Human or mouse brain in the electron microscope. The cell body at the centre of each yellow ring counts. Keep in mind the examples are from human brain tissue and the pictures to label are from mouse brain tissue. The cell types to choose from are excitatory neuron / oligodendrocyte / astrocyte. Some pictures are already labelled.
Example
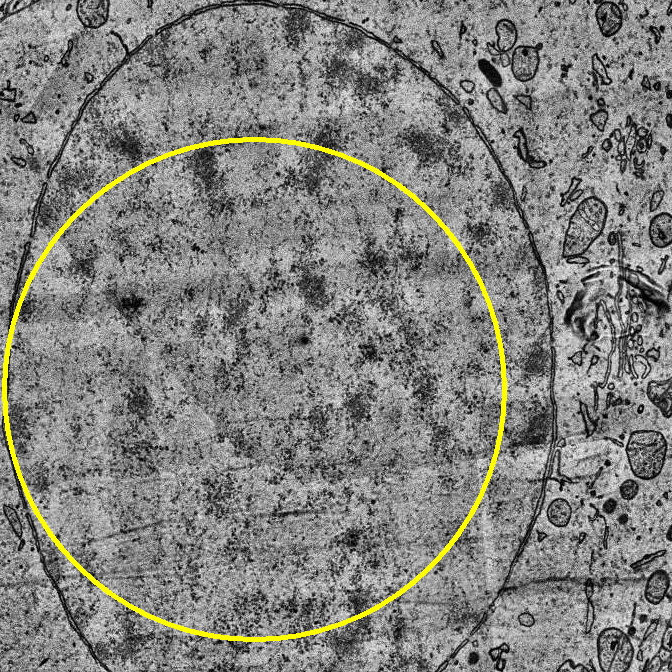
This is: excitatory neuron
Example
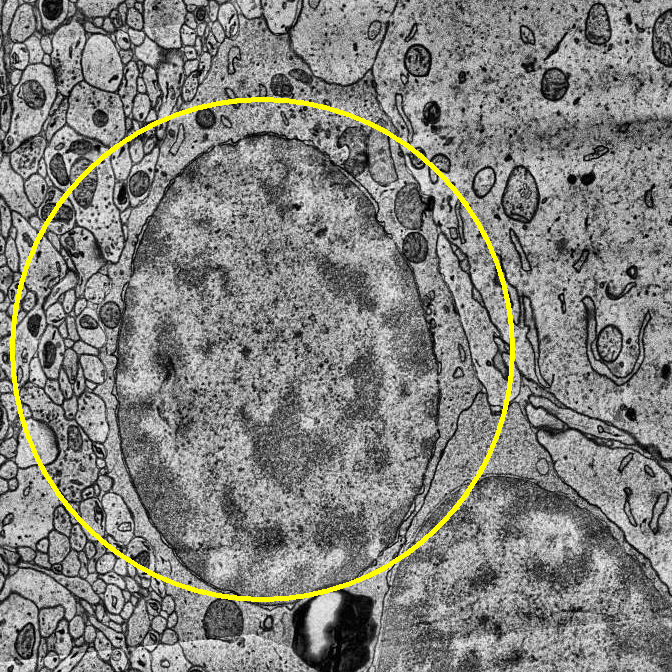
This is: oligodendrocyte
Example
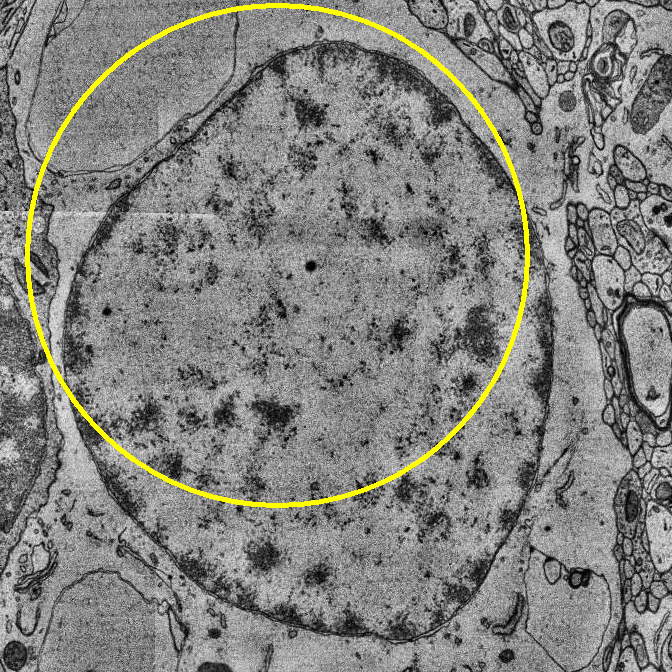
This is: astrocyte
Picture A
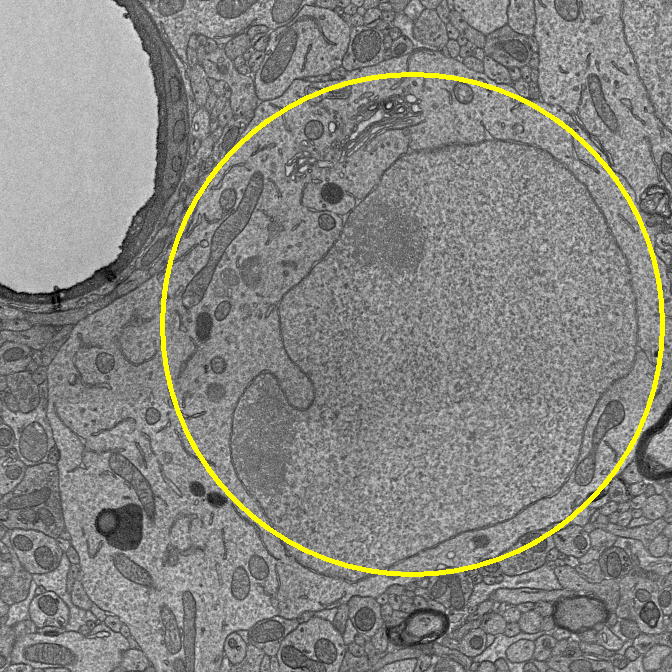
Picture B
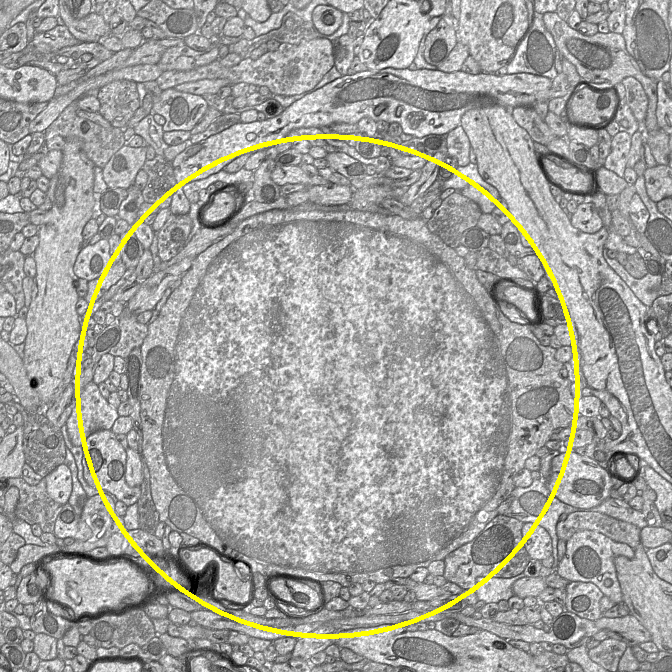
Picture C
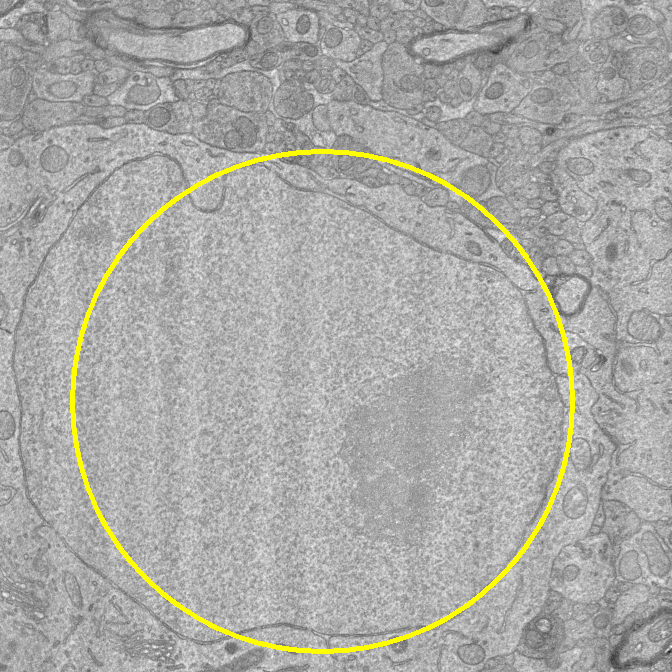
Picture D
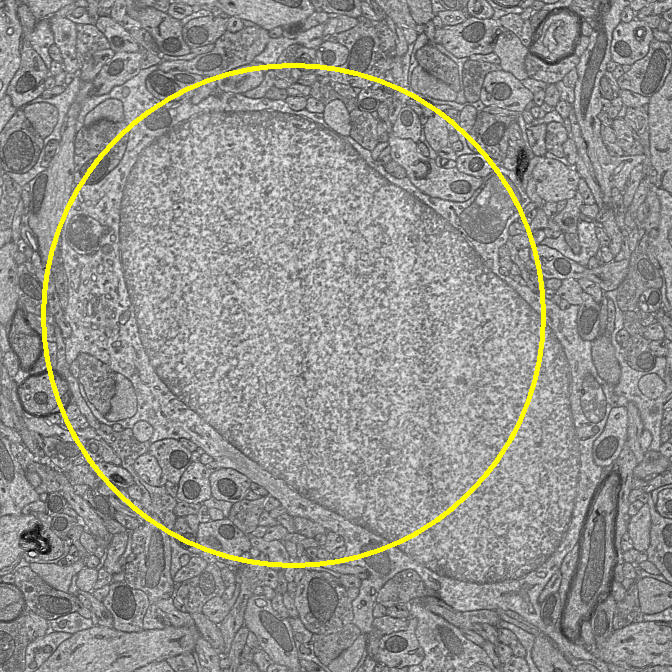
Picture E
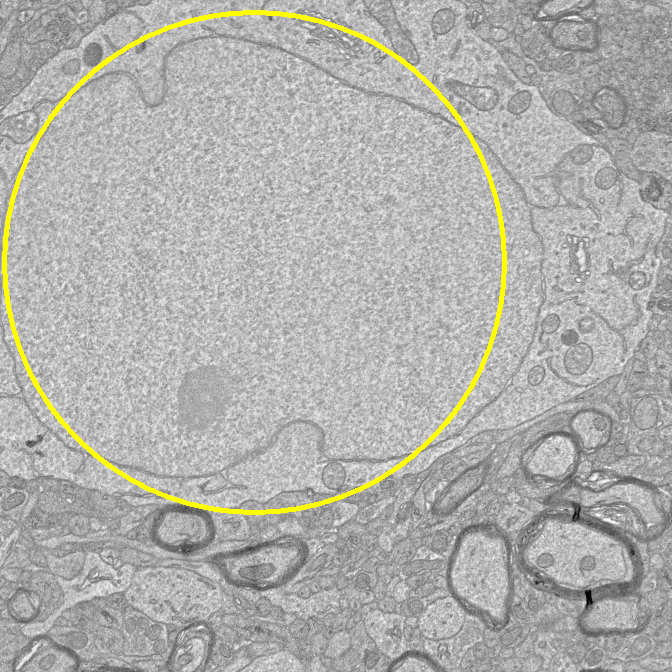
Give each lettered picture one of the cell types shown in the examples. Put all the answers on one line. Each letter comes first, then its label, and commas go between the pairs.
A excitatory neuron, B oligodendrocyte, C excitatory neuron, D astrocyte, E excitatory neuron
